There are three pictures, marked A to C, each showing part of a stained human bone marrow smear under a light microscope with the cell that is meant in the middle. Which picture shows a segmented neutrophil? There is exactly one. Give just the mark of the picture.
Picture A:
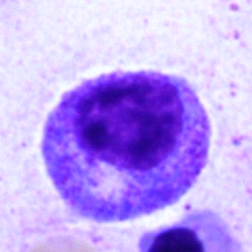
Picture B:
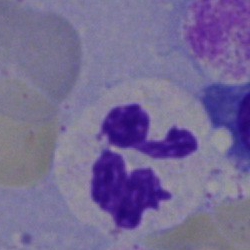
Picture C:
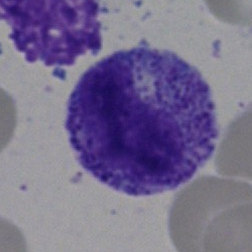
B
